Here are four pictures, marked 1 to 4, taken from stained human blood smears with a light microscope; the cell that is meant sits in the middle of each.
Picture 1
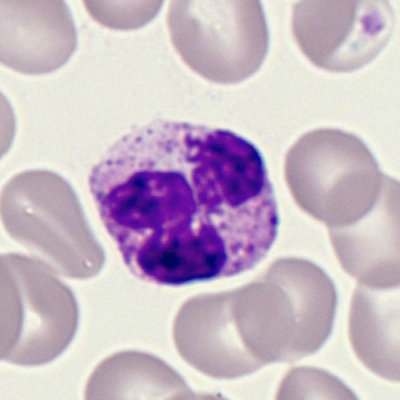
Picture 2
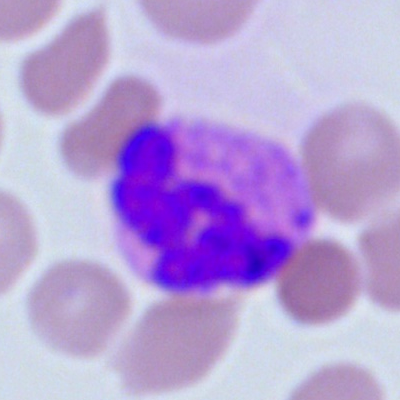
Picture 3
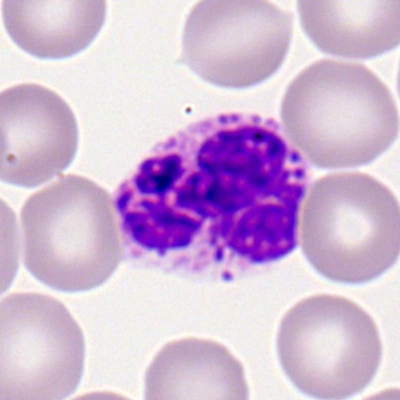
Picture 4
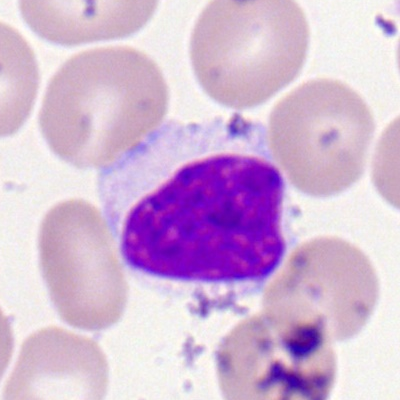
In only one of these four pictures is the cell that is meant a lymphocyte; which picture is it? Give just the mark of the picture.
4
